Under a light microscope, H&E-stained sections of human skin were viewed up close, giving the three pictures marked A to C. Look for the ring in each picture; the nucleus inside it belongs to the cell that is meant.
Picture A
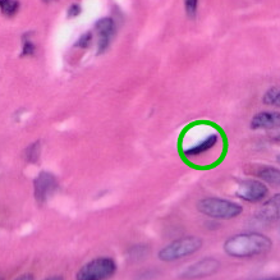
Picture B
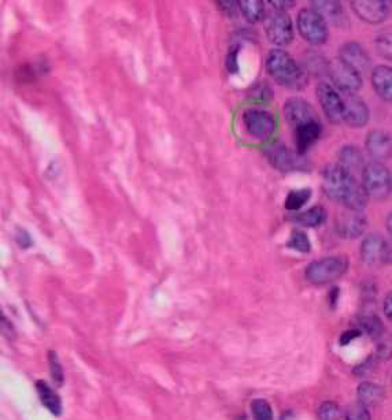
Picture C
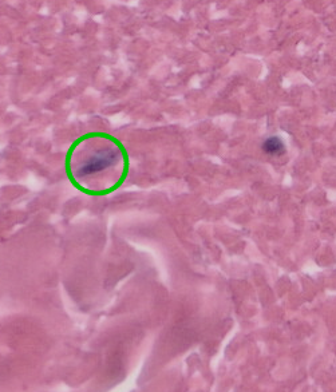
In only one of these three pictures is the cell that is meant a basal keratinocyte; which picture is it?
B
